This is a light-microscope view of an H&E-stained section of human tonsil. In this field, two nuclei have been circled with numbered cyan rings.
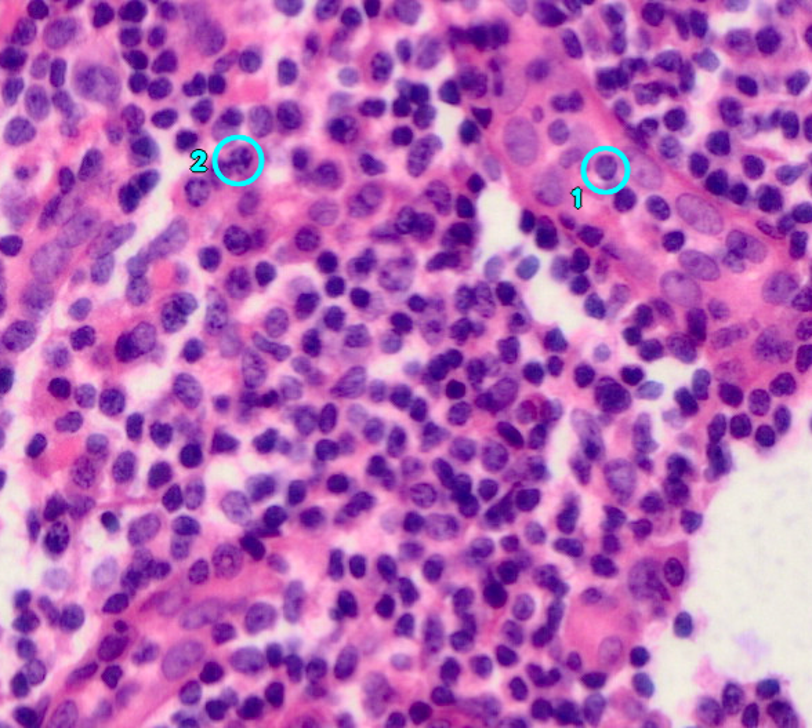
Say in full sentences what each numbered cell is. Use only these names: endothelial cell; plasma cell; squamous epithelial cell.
Cell 1 is an endothelial cell and cell 2 is a plasma cell.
